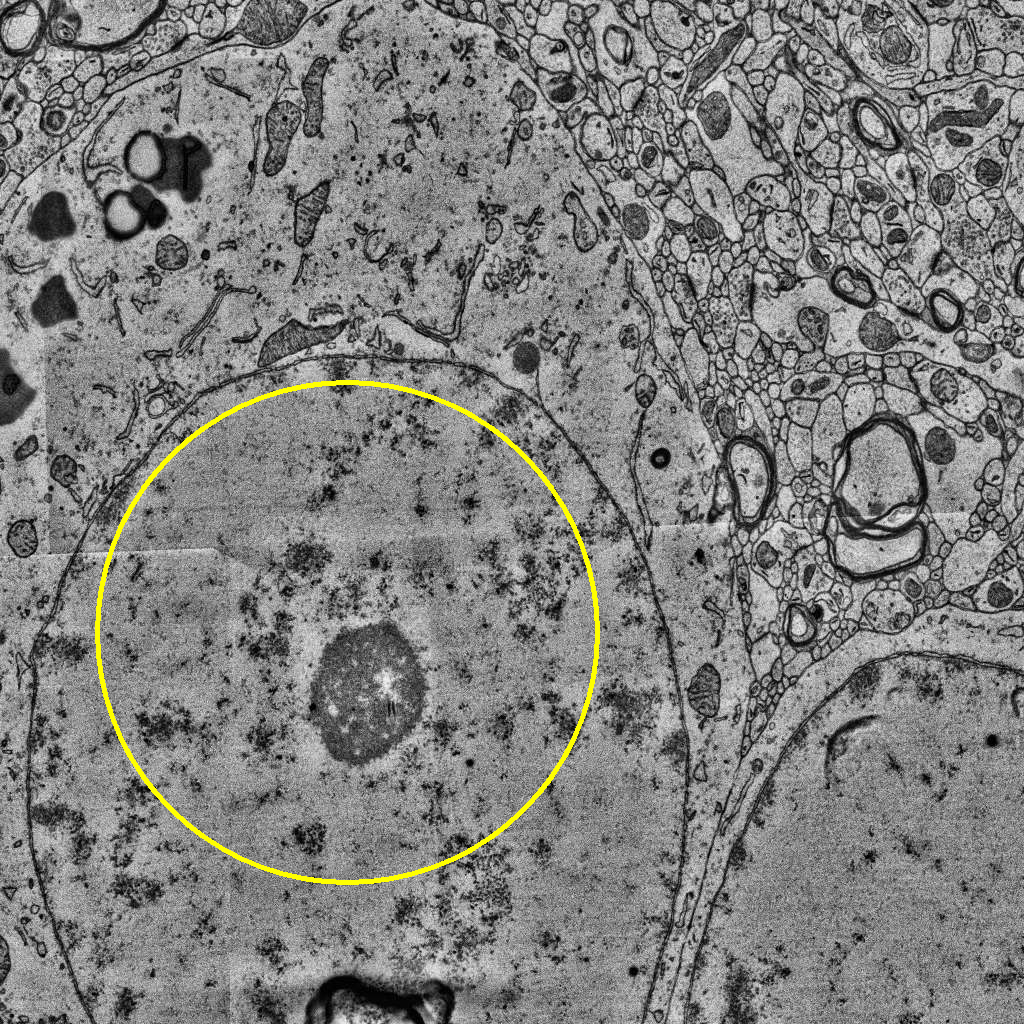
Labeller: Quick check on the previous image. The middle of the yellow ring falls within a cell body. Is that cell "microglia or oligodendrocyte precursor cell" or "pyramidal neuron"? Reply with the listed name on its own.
pyramidal neuron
